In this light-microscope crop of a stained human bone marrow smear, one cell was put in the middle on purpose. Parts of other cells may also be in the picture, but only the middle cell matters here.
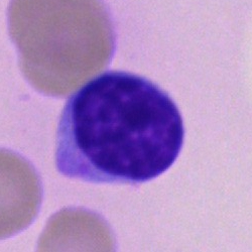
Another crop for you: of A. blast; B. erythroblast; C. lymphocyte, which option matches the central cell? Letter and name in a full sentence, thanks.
Option C stands as correct, the central cell being a lymphocyte.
